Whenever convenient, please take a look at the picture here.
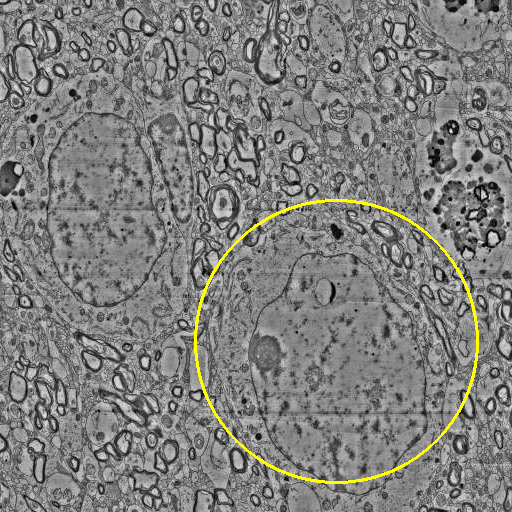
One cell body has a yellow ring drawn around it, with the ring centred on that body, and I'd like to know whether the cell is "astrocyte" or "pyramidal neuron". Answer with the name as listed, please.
pyramidal neuron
